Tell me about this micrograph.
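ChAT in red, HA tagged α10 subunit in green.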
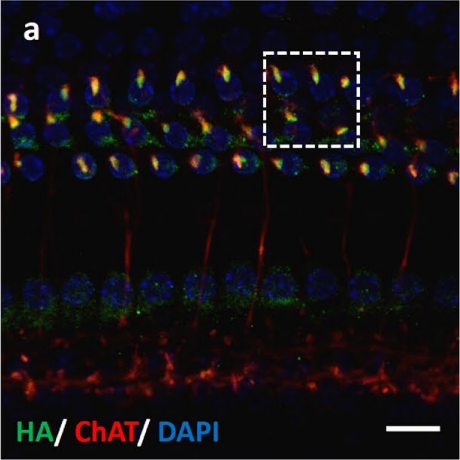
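This is a surface view of the organ of Corti with three neat rows of outer hair cells above and a single row of inner hair cells below. Each outer hair cell shows a round blue nucleus, and at its base sits a small red efferent terminal with green overlapping it, so the clusters look yellow. Thin red fibres climb between the rows from a tangled red fibre band running beneath the inner hair cell row. Faint green speckles also lie around the inner hair cells.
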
